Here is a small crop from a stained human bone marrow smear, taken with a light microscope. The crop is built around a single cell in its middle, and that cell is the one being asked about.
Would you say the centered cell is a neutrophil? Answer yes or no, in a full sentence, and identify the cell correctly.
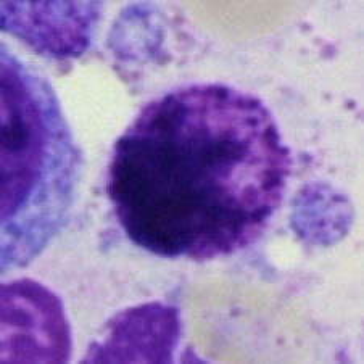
No, it is a basophil rather than a neutrophil that the middle of the crop contains.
